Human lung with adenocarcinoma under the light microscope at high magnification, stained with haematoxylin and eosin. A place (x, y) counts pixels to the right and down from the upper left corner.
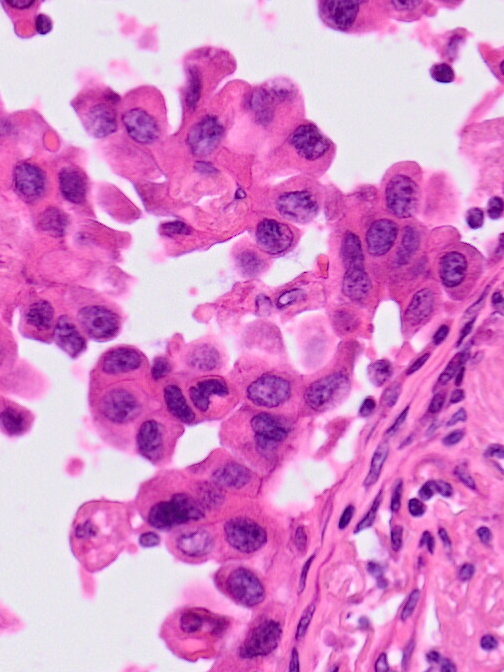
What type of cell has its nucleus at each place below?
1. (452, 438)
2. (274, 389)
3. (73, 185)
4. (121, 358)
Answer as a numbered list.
1. lymphocyte
2. carcinoma cell
3. carcinoma cell
4. carcinoma cell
